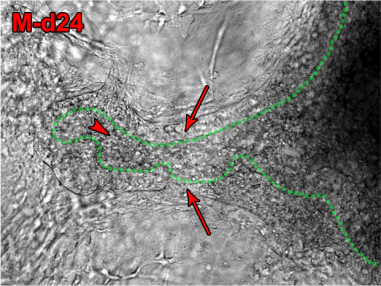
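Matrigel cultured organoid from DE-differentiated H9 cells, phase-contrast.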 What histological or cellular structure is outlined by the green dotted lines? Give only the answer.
Central lumens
